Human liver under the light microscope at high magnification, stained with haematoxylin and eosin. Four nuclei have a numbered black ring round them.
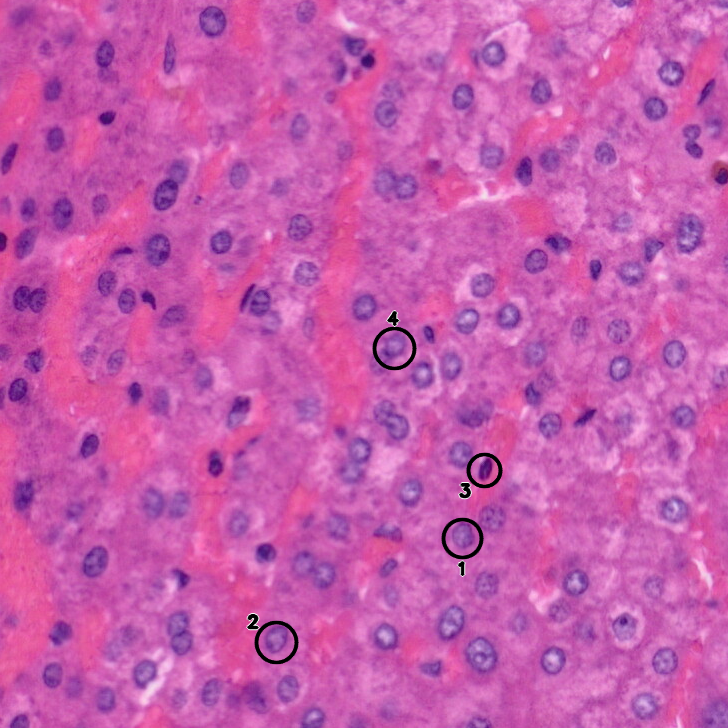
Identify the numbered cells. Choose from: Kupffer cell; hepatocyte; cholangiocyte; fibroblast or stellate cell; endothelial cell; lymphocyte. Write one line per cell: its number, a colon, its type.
1: hepatocyte
2: hepatocyte
3: lymphocyte
4: hepatocyte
